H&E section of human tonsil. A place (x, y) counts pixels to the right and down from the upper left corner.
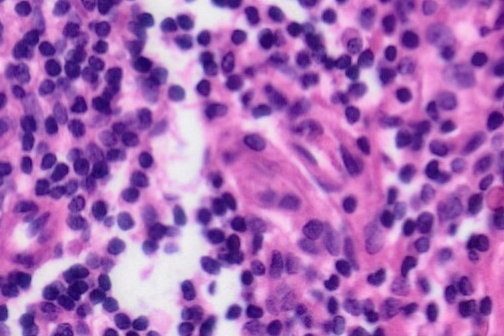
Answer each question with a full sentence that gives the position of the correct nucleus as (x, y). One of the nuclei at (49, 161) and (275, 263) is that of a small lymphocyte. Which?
So, of the two, the nucleus at (49, 161) is the one belonging to a small lymphocyte.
